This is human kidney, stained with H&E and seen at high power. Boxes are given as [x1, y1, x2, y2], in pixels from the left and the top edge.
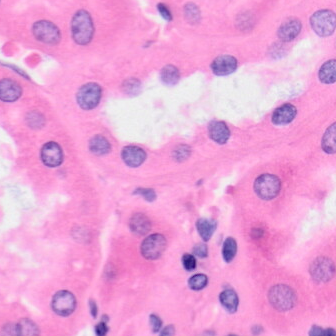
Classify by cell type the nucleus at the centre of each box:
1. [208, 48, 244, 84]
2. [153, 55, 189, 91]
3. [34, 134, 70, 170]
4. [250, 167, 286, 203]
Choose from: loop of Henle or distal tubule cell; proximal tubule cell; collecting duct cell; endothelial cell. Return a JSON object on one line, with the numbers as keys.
{"1": "loop of Henle or distal tubule cell", "2": "loop of Henle or distal tubule cell", "3": "proximal tubule cell", "4": "proximal tubule cell"}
